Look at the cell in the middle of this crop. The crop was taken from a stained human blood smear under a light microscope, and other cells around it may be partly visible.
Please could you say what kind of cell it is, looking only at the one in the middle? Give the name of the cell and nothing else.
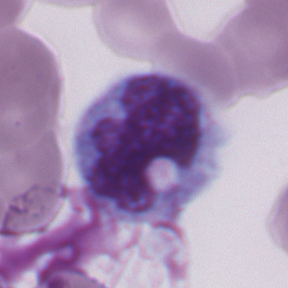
monocyte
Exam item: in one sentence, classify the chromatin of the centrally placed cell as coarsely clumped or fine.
Heads up, the chromatin in this one is coarsely clumped.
